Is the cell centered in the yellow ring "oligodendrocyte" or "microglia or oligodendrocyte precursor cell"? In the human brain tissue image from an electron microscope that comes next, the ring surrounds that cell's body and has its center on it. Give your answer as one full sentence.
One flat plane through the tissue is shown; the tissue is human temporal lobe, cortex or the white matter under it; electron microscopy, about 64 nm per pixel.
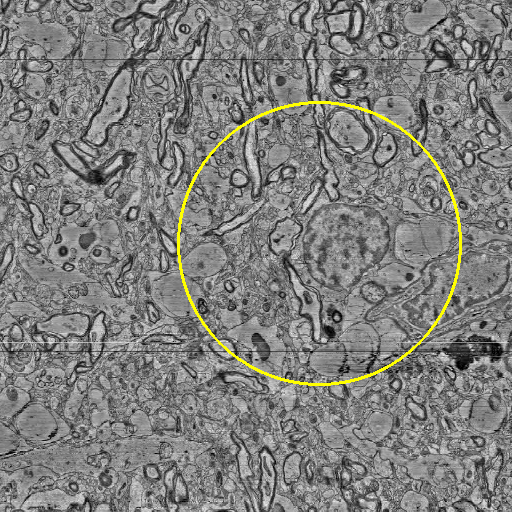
The cell at the center of the yellow ring is an oligodendrocyte in the micrograph.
